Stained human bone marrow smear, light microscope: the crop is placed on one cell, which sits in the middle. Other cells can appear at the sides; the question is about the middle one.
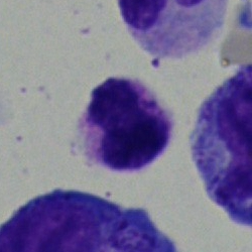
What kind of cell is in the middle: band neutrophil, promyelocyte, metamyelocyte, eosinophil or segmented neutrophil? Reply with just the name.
segmented neutrophil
